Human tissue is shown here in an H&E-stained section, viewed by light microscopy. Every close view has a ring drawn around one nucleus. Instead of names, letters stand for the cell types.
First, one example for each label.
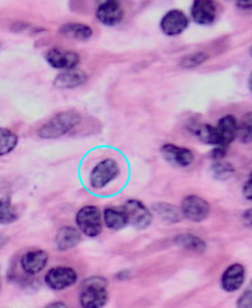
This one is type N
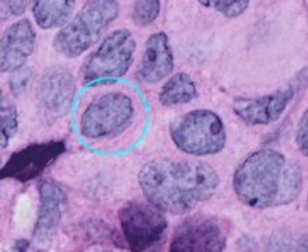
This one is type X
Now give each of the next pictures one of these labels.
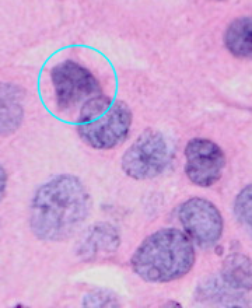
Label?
type X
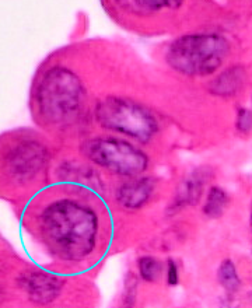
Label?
type X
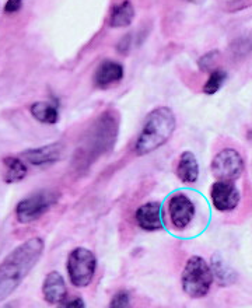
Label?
type N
